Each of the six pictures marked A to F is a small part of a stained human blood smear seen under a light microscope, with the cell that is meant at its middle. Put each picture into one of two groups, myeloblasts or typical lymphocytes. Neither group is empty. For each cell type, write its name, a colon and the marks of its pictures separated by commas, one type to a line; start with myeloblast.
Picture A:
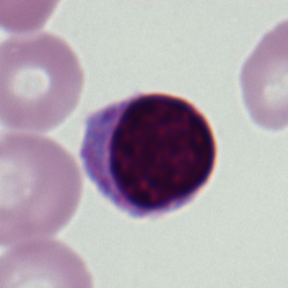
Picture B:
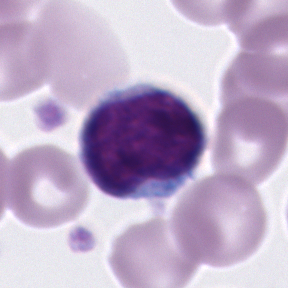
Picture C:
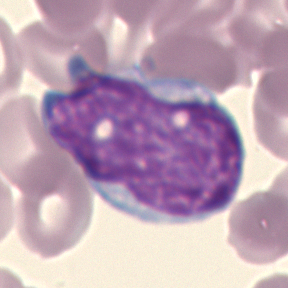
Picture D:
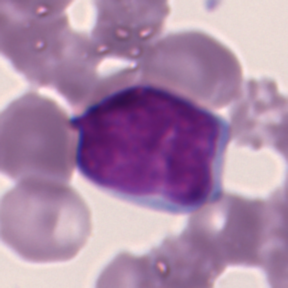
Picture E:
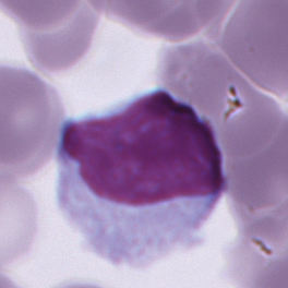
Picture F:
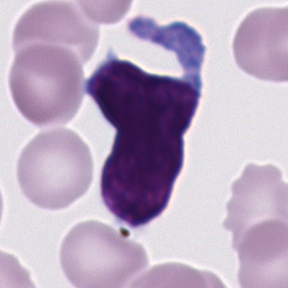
myeloblast: C, D
typical lymphocyte: A, B, E, F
